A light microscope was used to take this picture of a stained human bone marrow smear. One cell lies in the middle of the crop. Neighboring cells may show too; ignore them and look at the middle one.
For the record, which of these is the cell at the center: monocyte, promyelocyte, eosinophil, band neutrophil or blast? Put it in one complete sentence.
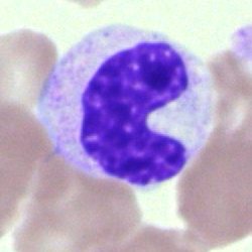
What the crop centres on is a band neutrophil.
